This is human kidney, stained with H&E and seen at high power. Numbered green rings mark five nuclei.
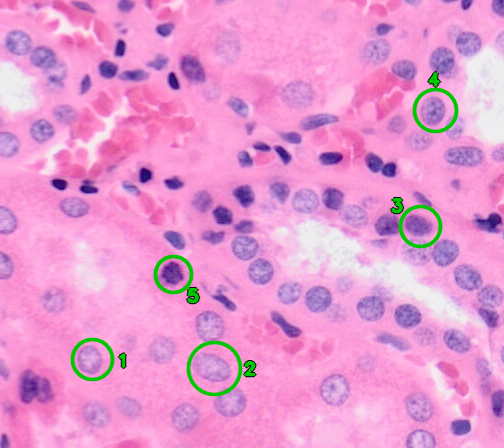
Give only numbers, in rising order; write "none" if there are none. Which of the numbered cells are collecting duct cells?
3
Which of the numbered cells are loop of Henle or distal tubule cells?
4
